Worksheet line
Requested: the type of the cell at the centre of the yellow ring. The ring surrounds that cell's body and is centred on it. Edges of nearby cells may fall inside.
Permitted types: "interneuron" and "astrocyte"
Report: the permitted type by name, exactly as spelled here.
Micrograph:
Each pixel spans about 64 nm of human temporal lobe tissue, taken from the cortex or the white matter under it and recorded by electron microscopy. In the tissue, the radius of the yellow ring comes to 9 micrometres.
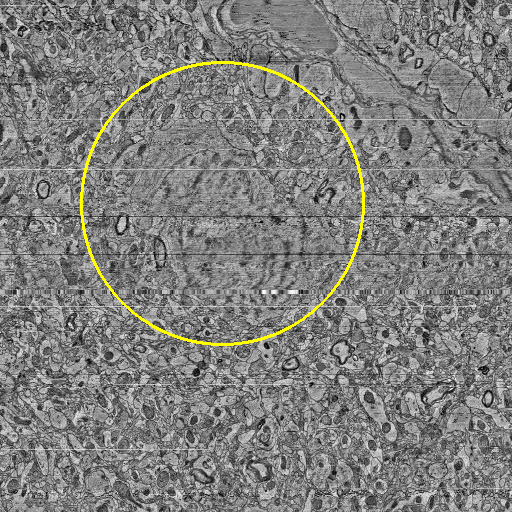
interneuron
